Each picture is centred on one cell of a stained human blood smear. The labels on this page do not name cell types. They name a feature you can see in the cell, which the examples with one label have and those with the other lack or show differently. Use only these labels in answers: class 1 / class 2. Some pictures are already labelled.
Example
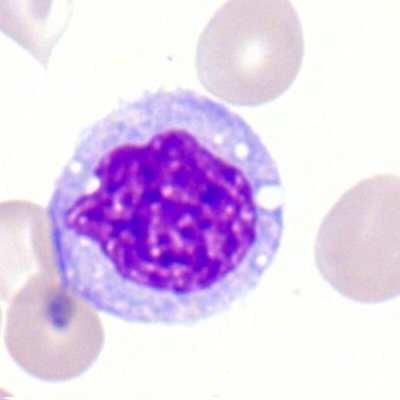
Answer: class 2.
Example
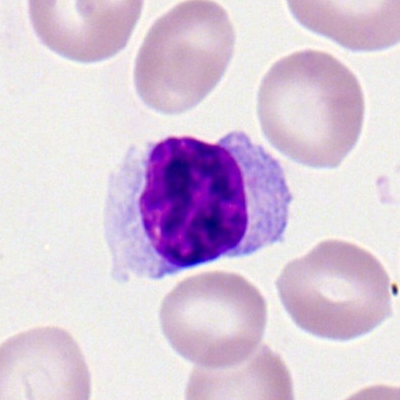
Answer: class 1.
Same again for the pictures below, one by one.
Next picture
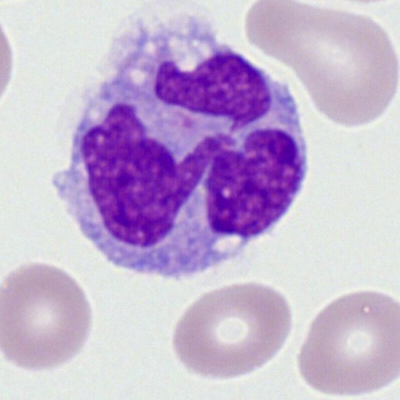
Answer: class 1.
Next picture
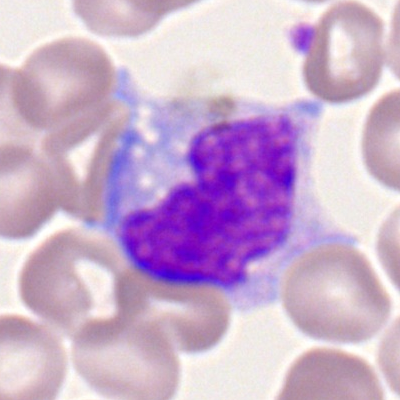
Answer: class 1.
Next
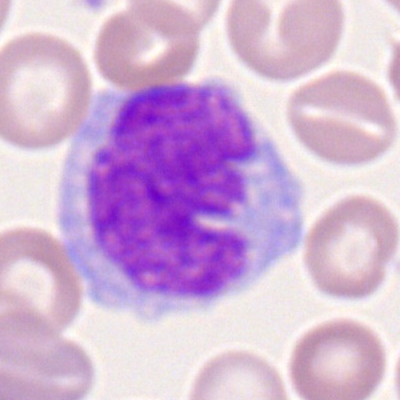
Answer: class 2.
